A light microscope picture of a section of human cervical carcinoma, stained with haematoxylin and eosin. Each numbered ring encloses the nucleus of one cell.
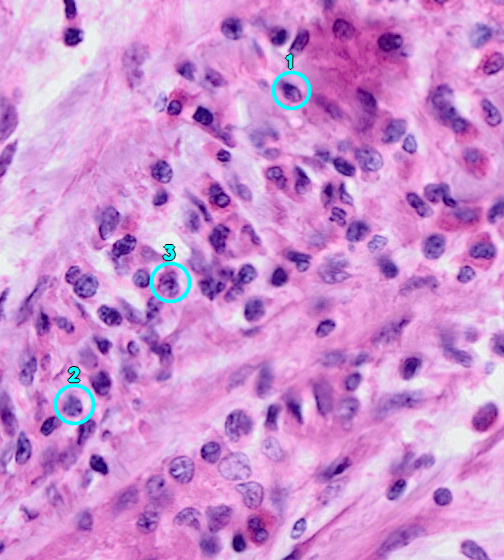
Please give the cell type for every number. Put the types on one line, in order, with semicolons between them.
lymphocyte; lymphocyte; macrophage or monocyte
